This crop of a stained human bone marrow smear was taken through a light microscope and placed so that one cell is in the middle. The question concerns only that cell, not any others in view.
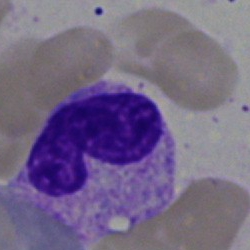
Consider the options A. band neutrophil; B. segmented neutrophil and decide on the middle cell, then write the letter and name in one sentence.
The central cell in this crop is a band neutrophil, so the correct choice is option A.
